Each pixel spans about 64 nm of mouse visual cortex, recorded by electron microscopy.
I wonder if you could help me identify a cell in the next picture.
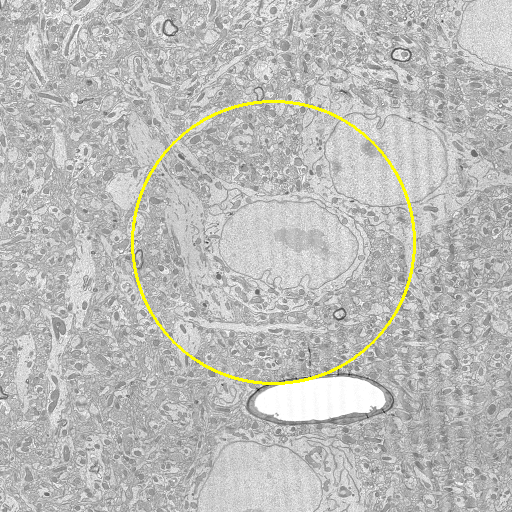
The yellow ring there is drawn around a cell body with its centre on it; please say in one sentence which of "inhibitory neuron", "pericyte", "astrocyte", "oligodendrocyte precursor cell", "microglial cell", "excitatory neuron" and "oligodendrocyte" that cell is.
The yellow ring is centred on an inhibitory neuron.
